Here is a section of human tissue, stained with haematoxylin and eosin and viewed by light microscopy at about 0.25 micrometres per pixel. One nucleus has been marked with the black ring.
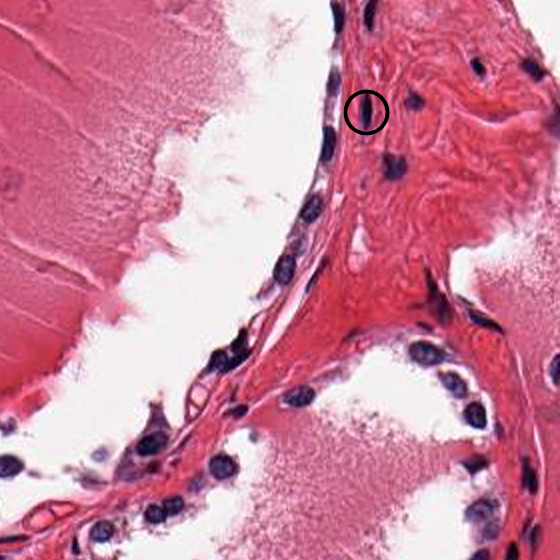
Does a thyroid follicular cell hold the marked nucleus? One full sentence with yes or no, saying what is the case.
No, instead of a thyroid follicular cell, a supporting cell is what the marked nucleus belongs to.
